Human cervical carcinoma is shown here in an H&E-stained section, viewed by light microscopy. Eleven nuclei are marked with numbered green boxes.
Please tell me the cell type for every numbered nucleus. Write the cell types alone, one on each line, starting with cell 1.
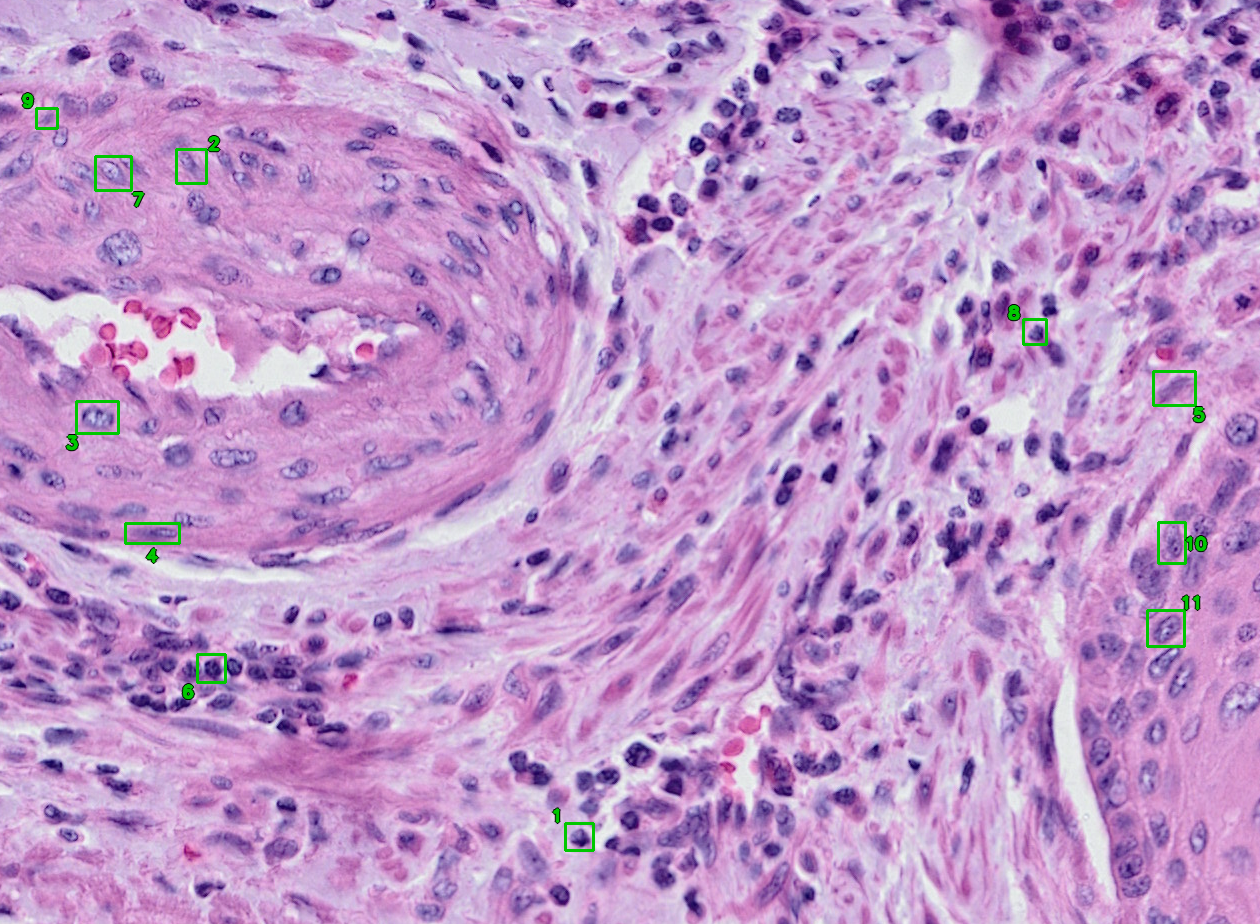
lymphocyte
smooth muscle cell
smooth muscle cell
smooth muscle cell
fibroblast
lymphocyte
smooth muscle cell
lymphocyte
smooth muscle cell
squamous carcinoma cell
squamous carcinoma cell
